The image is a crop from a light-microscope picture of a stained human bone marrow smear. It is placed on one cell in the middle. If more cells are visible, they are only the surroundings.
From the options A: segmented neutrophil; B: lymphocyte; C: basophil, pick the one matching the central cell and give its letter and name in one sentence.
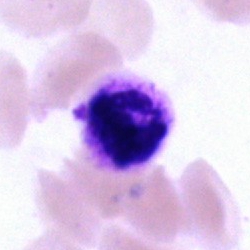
Option A holds, for the cell in the middle is a segmented neutrophil.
